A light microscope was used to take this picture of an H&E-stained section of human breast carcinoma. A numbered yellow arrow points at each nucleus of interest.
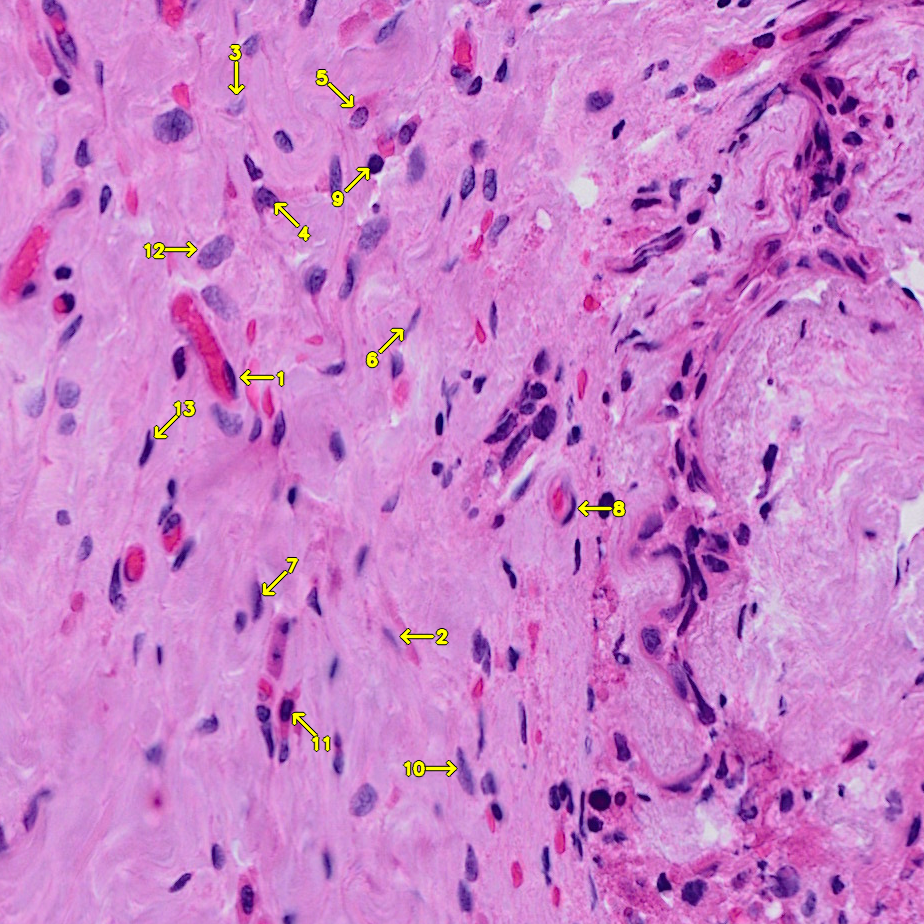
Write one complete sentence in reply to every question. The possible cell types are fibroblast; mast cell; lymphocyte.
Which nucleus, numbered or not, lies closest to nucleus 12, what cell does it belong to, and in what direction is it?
A fibroblast lies closest, below nucleus 12.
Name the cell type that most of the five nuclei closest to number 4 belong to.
Most of the five nuclei nearest to number 4 are those of fibroblasts.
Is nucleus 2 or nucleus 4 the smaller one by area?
Number 2 is smaller, since number 4 takes up about 1.5 times as much area.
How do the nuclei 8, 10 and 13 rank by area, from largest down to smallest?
From largest to smallest, the order is 10, 13, 8.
